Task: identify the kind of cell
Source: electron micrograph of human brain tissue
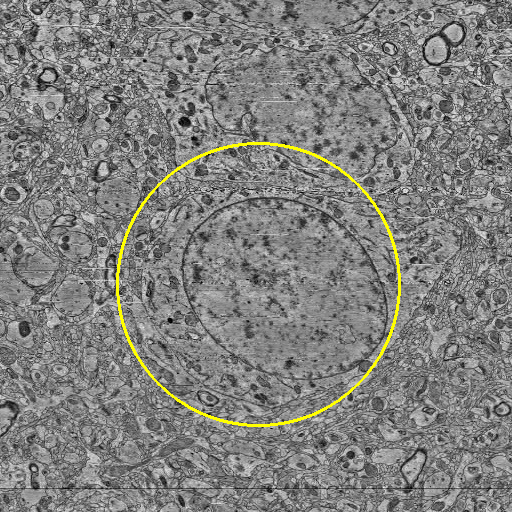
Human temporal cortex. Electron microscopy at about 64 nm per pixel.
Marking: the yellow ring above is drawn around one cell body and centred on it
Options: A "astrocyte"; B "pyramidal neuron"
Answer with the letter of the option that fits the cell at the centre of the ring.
B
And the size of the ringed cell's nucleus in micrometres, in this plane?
Approximately 14 micrometres long and 11 micrometres wide, in this plane.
